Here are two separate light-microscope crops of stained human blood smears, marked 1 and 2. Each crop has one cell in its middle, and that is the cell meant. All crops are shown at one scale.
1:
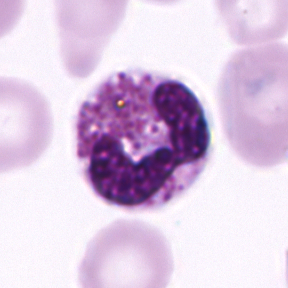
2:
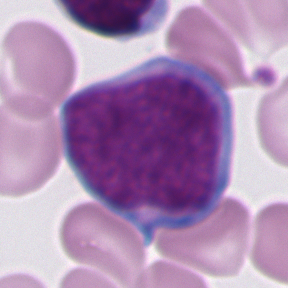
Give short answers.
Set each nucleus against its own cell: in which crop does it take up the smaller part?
1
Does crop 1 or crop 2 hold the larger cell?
2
